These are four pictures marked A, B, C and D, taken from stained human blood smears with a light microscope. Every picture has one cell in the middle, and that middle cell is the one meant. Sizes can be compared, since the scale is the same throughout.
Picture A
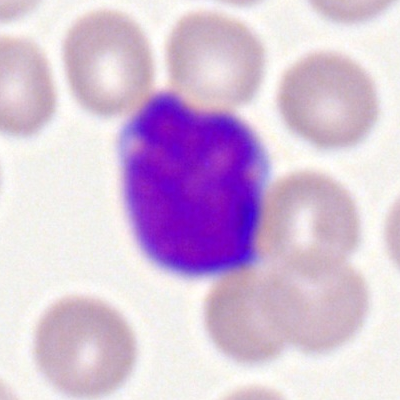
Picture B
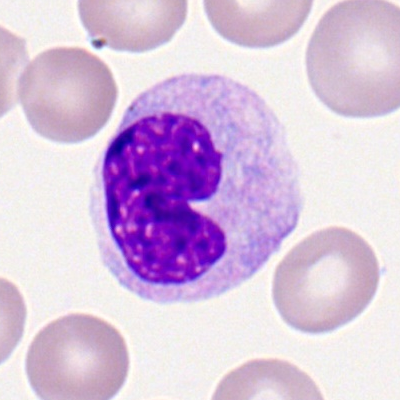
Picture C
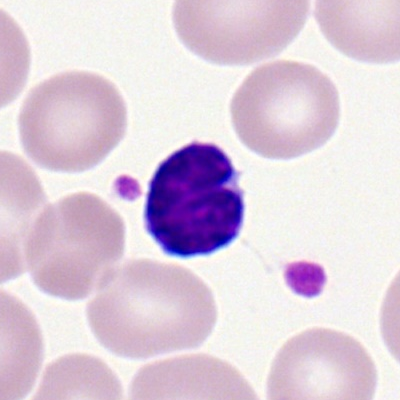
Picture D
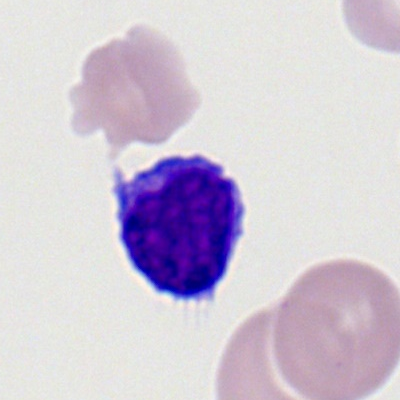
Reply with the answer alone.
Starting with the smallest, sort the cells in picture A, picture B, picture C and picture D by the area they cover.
C, D, A, B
